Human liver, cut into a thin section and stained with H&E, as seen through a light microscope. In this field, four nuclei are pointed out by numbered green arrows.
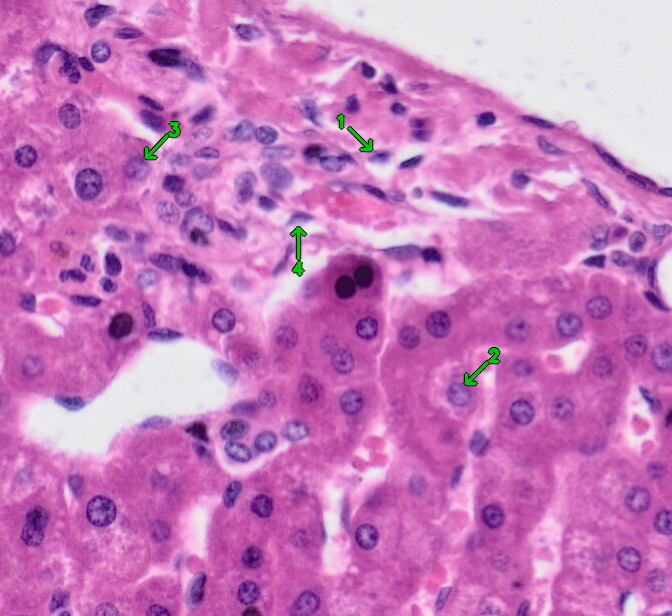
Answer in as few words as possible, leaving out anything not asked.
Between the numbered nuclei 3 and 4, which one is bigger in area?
3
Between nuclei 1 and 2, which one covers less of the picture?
1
